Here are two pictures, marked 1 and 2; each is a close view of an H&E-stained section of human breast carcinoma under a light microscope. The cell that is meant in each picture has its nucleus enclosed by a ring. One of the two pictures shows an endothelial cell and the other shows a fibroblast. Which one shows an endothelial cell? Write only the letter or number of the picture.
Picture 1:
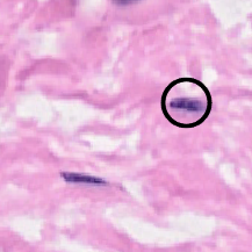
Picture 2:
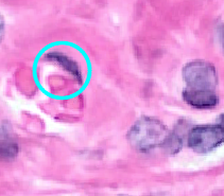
2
